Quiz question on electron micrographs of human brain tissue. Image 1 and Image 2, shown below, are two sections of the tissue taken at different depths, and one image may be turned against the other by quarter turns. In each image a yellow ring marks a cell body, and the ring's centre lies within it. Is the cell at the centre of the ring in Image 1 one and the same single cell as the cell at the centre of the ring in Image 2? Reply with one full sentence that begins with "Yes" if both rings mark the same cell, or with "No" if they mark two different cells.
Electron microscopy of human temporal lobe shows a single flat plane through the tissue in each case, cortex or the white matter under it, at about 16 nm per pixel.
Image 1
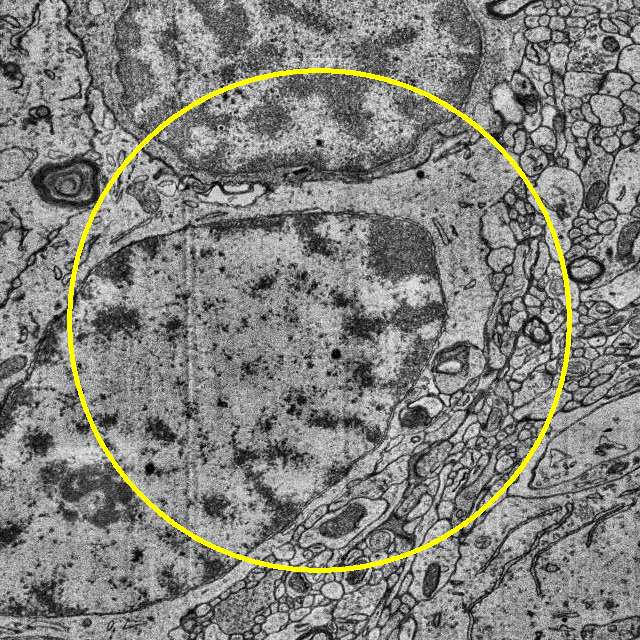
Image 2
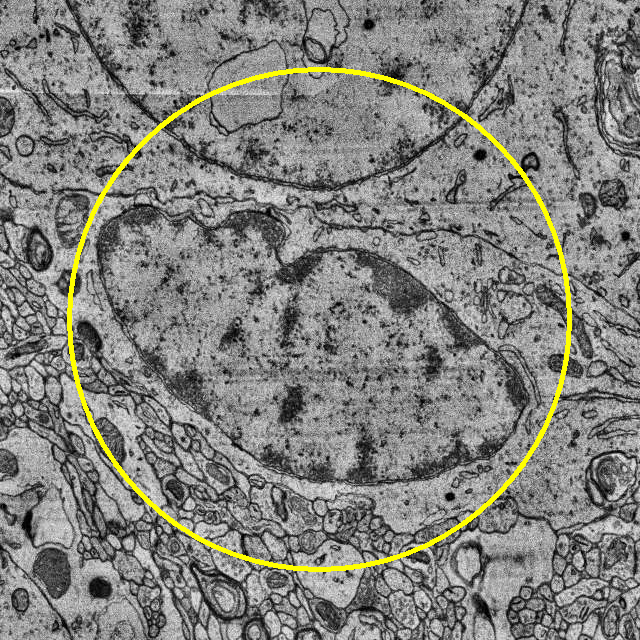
Yes, the cell inside the first ring is the cell inside the second.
